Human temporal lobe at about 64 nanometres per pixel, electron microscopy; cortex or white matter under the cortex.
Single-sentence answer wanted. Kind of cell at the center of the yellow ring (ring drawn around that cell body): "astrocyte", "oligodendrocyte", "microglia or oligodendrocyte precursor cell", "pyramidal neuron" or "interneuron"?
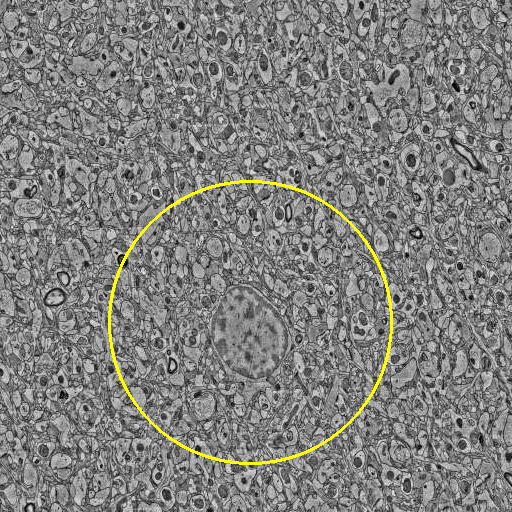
The cell centered in the ring is an oligodendrocyte.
